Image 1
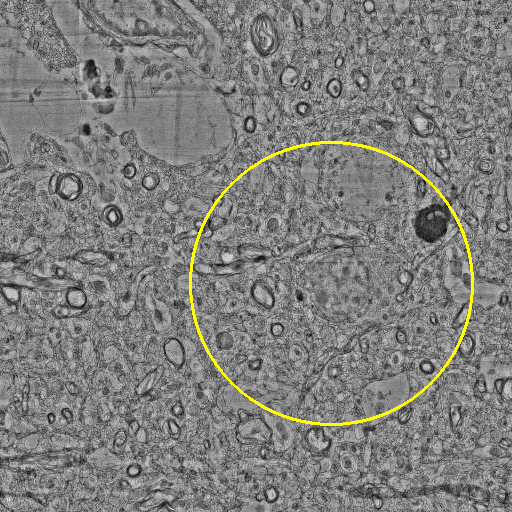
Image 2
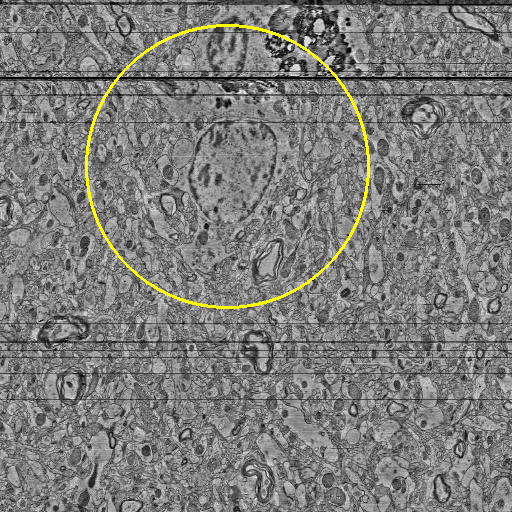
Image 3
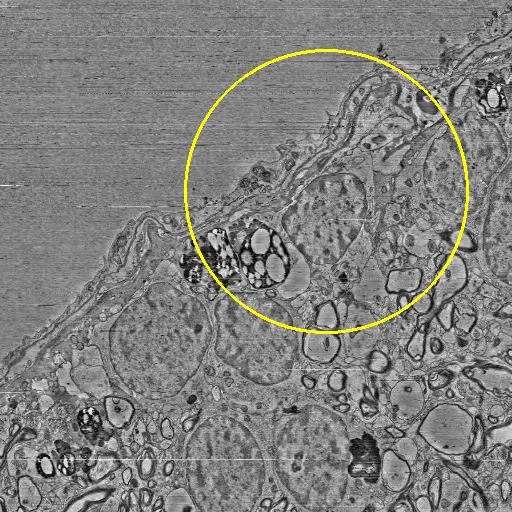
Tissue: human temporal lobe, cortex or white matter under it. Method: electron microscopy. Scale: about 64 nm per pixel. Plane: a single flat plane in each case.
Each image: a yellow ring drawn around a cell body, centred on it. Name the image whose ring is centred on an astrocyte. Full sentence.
That is Image 2.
